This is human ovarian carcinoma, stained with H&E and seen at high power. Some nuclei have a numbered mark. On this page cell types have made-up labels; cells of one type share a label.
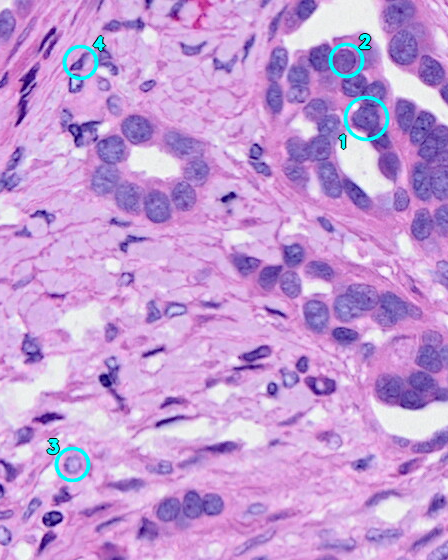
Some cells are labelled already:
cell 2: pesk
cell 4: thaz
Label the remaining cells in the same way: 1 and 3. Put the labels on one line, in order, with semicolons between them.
pesk; thaz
